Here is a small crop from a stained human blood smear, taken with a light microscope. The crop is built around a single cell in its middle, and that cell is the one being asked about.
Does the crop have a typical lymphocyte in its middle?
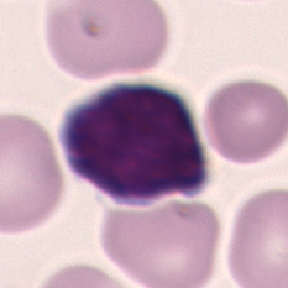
yes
